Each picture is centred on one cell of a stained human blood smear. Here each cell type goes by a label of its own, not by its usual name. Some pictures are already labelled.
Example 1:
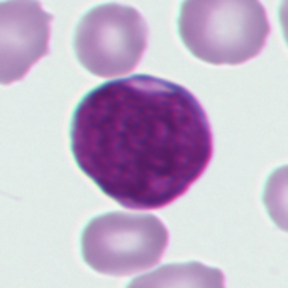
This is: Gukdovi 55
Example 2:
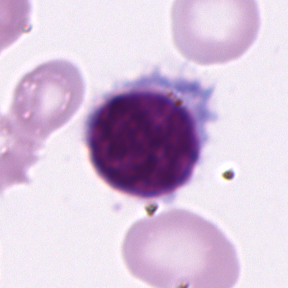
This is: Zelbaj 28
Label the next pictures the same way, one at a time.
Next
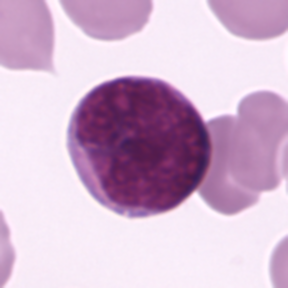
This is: Gukdovi 55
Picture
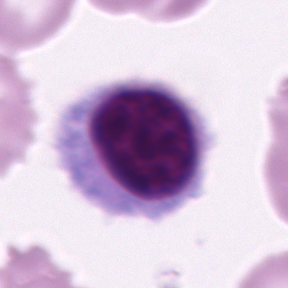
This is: Zelbaj 28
